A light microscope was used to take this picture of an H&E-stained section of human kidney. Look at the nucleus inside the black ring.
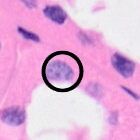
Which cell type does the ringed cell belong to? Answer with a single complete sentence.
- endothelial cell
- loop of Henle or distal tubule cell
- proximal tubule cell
The ringed cell is a loop of Henle or distal tubule cell.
